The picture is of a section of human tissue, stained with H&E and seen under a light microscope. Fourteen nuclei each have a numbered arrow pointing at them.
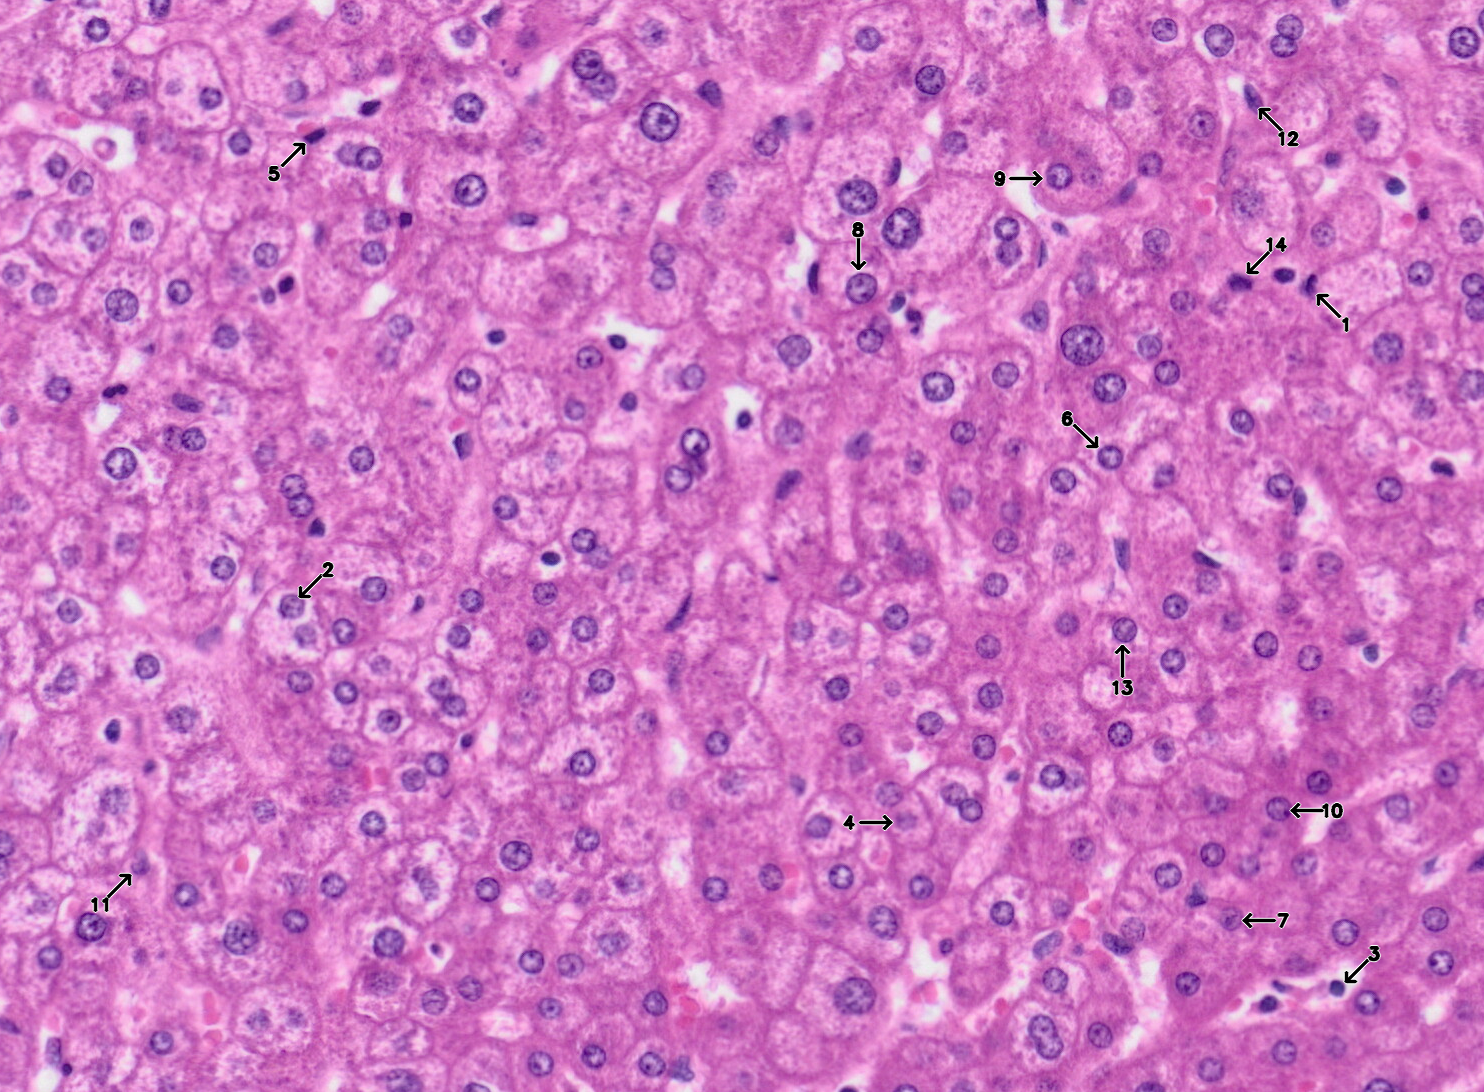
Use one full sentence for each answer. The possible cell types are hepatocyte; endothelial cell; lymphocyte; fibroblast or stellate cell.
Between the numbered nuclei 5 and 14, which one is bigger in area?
It is nucleus 14, which covers about 1.5 times the area of nucleus 5.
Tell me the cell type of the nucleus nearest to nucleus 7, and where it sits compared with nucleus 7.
Lying above and to the left of nucleus 7, the nearest nucleus is that of a fibroblast or stellate cell.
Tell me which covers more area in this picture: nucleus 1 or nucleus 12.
At about 1.5 times the area of nucleus 1, nucleus 12 is the larger of the two.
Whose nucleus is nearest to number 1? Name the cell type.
Number 1 lies closest to the nucleus of a lymphocyte.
